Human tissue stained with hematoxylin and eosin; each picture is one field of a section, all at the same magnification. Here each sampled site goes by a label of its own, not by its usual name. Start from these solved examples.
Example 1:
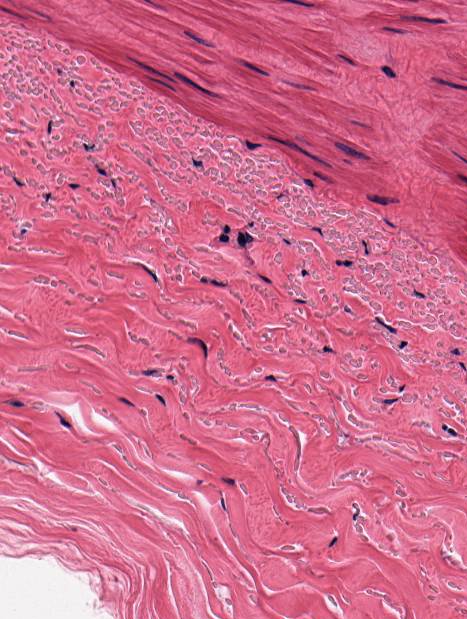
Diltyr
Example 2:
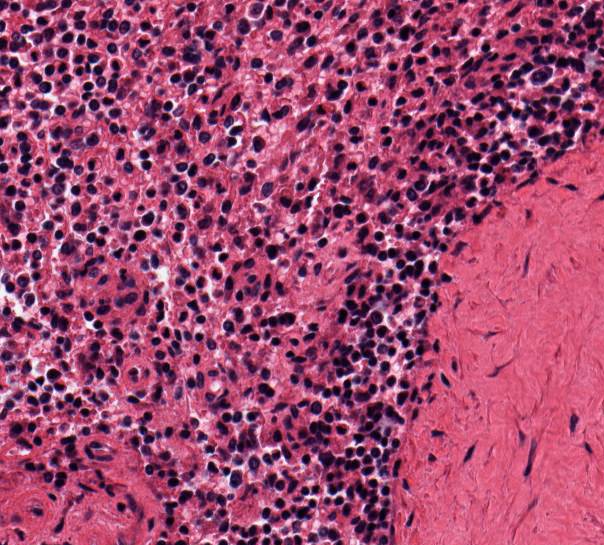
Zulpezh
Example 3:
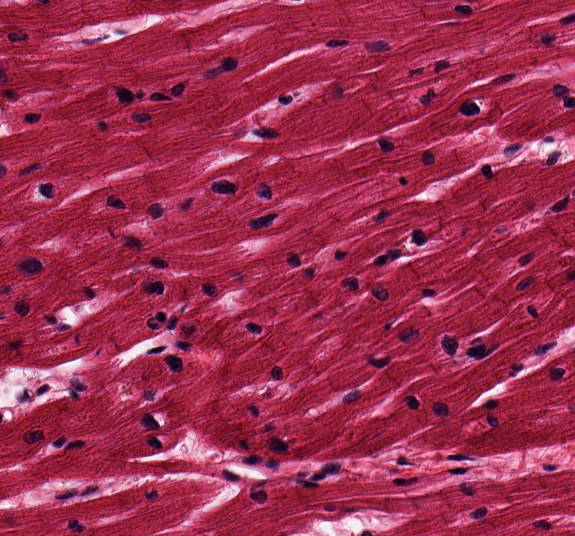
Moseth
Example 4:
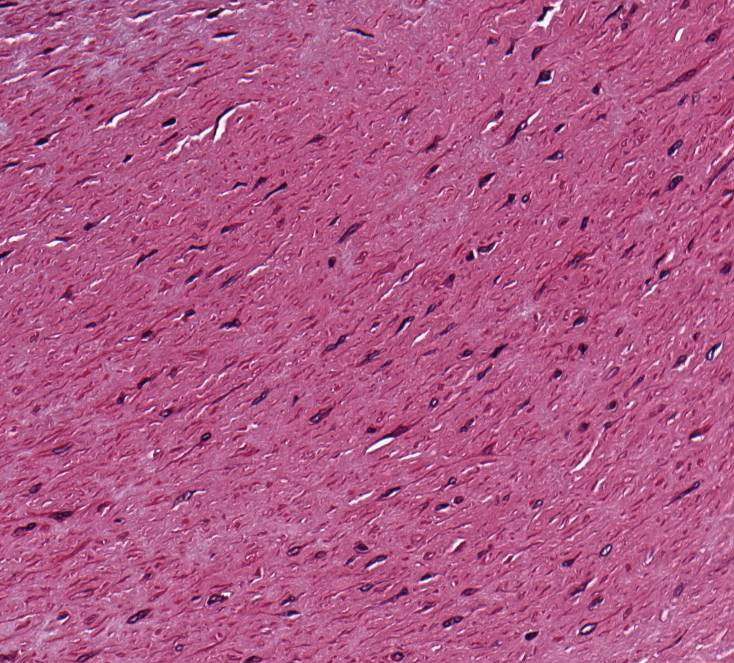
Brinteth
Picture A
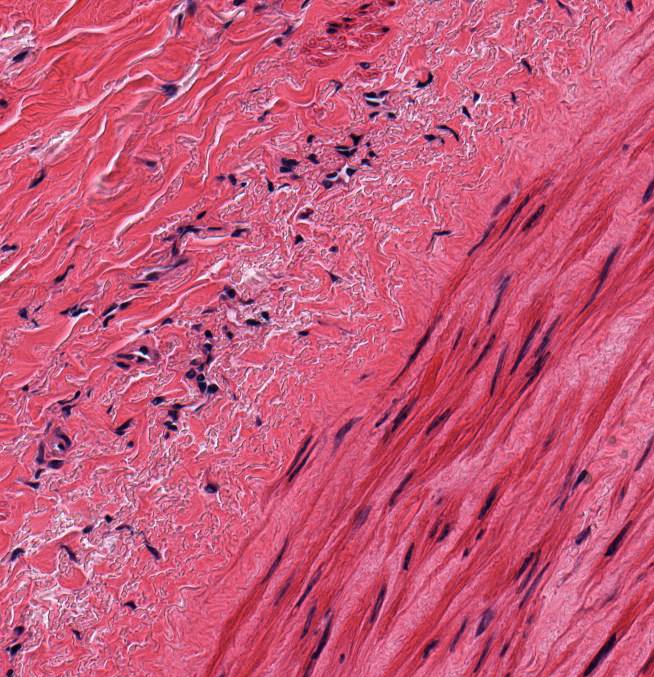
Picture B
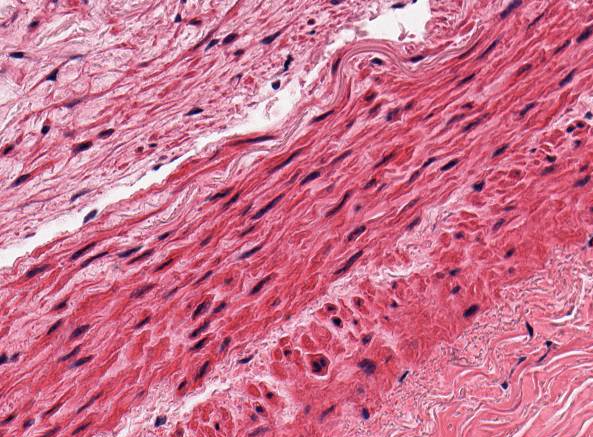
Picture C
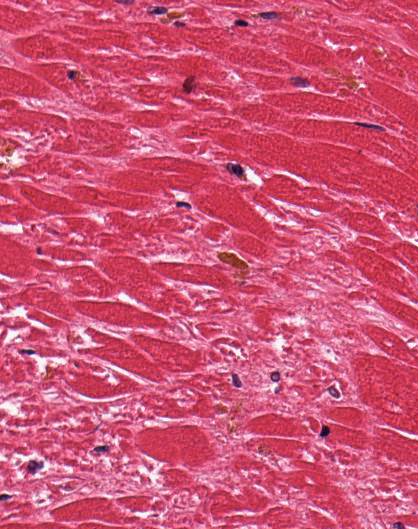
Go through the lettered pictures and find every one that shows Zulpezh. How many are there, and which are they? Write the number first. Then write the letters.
0, none of them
